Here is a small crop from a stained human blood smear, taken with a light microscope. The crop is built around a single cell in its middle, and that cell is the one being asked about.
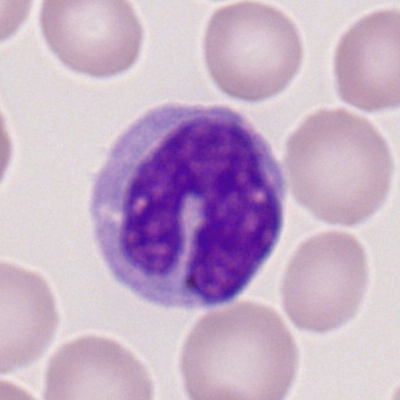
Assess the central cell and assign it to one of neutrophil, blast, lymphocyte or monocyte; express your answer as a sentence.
The cell centred in this crop is categorized as a monocyte.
